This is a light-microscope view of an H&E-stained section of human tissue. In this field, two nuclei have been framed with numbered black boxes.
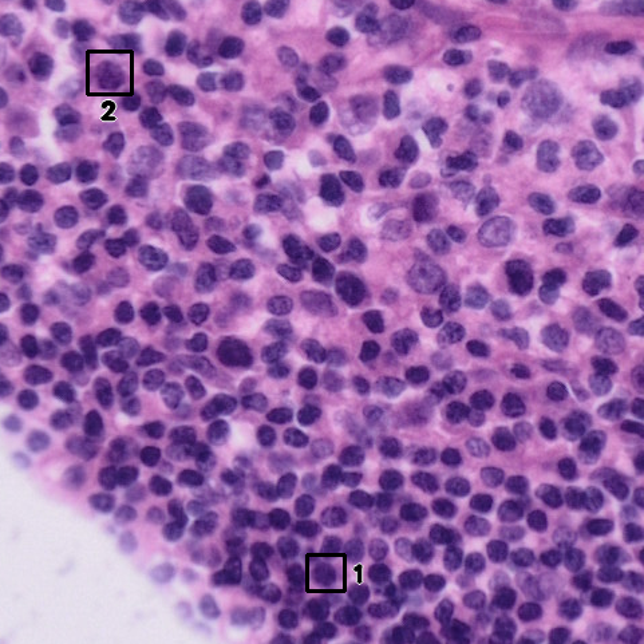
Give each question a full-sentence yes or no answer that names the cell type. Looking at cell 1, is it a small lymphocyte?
Yes, the cell with the number 1 is a small lymphocyte.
